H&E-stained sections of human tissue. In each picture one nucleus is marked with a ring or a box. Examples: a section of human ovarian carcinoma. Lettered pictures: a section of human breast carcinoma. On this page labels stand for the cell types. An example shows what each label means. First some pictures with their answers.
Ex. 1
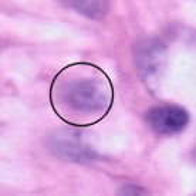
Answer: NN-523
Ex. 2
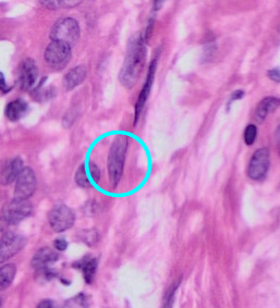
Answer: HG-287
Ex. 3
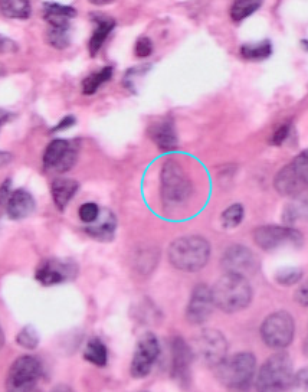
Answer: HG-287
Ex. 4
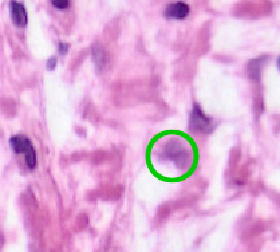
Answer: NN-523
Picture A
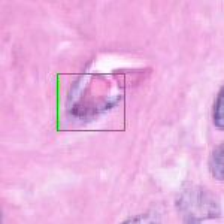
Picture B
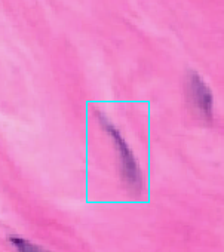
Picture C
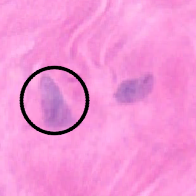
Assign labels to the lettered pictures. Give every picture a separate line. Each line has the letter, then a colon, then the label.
A: HG-287
B: NN-523
C: NN-523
